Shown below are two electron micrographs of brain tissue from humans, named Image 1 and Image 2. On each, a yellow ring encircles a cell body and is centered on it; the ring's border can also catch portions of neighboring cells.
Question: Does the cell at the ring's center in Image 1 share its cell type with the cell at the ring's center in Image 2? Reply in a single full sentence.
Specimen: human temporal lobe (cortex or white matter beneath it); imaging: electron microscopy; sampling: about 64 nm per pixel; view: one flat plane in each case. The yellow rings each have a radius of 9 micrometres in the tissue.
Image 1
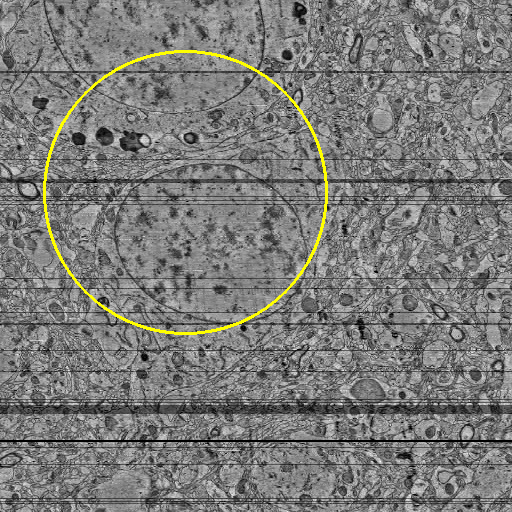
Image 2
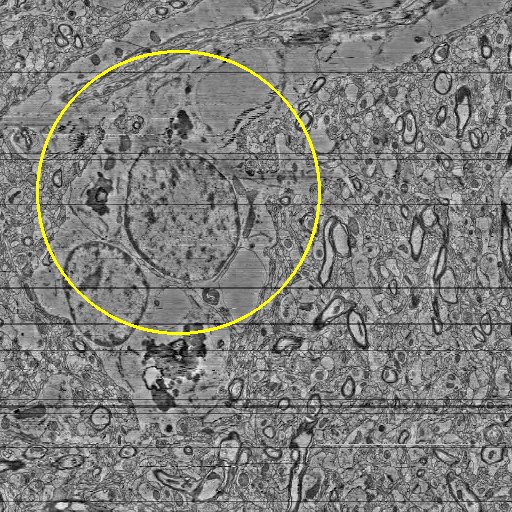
No, the two cells at the ring centers, in Image 1 and Image 2, are of two cell types.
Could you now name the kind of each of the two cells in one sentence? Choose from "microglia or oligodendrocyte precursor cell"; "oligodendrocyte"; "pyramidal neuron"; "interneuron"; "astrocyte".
The first ring encloses a pyramidal neuron; the second ring encloses an astrocyte.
